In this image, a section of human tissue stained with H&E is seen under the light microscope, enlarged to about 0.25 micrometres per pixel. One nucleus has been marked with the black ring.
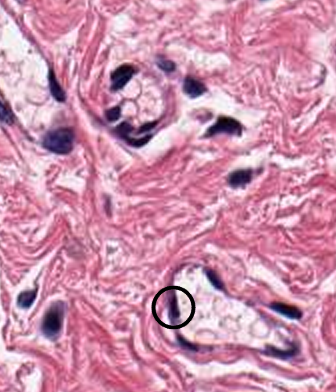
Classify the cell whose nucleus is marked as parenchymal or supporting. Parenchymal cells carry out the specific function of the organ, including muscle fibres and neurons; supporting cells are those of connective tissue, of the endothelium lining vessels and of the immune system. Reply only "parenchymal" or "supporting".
supporting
